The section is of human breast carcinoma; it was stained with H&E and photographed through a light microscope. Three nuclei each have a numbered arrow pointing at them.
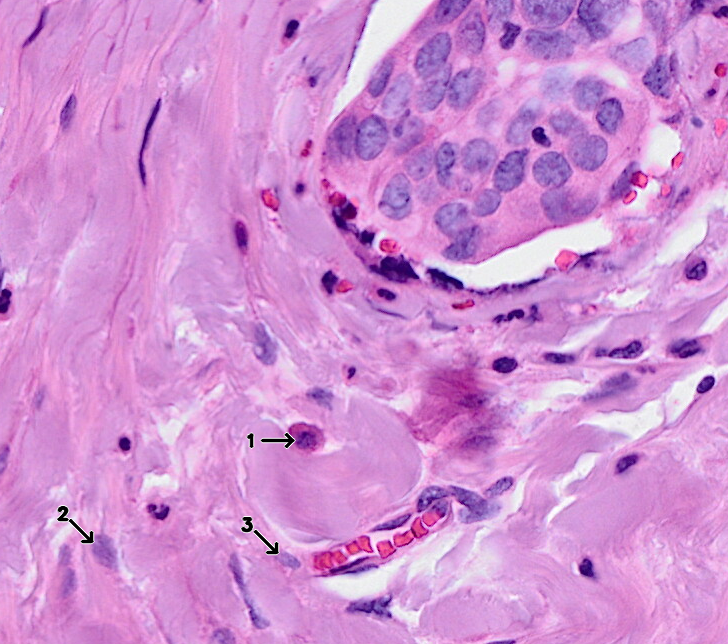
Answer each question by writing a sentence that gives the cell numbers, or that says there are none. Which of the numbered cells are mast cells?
Nothing but cell 1 is a mast cell among the numbered ones.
